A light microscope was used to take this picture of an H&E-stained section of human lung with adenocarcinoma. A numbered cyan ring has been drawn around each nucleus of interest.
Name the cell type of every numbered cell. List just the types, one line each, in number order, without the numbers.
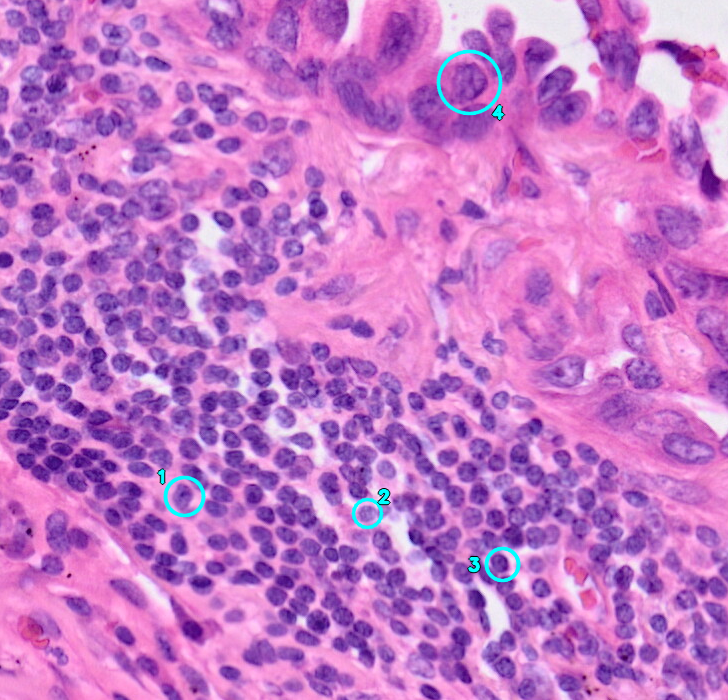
lymphocyte
lymphocyte
lymphocyte
carcinoma cell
